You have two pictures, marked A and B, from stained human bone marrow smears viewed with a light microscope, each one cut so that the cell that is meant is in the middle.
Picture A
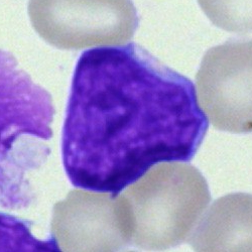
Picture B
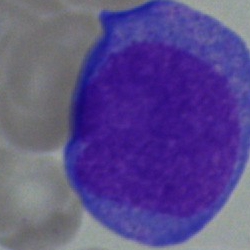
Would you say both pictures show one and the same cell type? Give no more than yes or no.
yes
